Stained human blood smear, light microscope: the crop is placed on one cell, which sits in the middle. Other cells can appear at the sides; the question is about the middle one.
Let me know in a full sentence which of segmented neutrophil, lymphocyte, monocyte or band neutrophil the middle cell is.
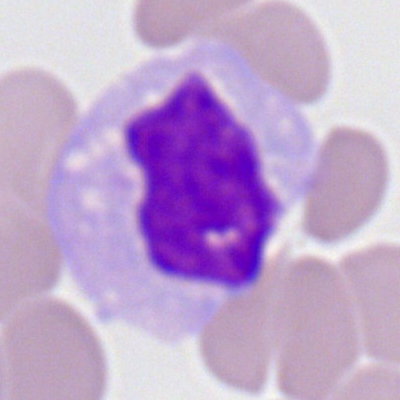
The crop shows a monocyte in its centre.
